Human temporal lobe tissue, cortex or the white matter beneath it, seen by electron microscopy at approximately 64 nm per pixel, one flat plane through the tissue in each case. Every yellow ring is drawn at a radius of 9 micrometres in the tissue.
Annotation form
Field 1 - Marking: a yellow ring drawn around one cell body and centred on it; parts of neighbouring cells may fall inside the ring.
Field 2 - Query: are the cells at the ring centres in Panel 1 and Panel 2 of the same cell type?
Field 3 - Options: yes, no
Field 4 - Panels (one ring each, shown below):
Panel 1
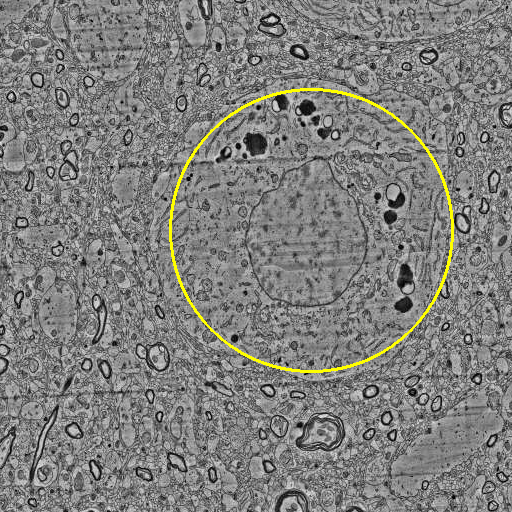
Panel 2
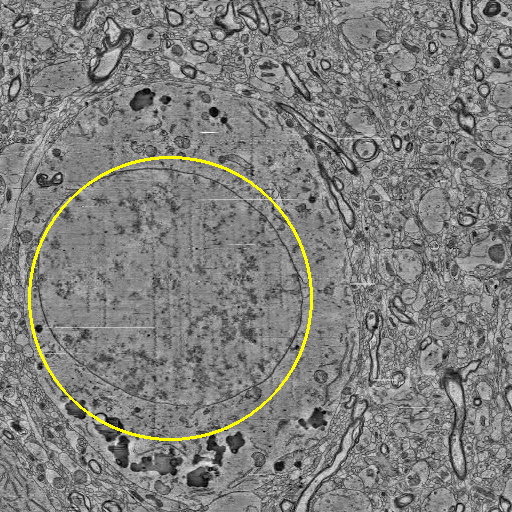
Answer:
yes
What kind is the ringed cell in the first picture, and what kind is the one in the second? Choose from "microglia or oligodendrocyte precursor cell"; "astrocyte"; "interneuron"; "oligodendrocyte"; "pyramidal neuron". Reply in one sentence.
Each of the ringed cells, first and second, is a pyramidal neuron.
